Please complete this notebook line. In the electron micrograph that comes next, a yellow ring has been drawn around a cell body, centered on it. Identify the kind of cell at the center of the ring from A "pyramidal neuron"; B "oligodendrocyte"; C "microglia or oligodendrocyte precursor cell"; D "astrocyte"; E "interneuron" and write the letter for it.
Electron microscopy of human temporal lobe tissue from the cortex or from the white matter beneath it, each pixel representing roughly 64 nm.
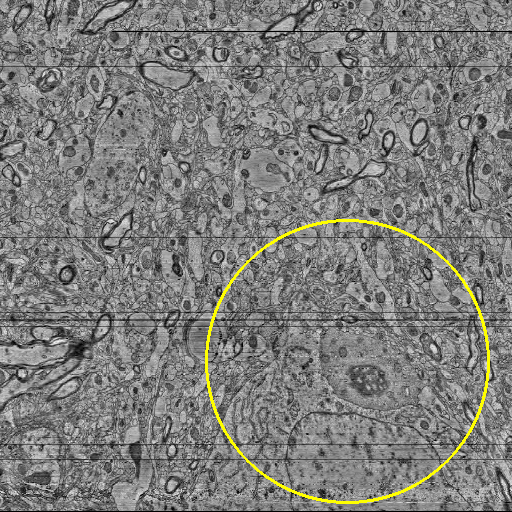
B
